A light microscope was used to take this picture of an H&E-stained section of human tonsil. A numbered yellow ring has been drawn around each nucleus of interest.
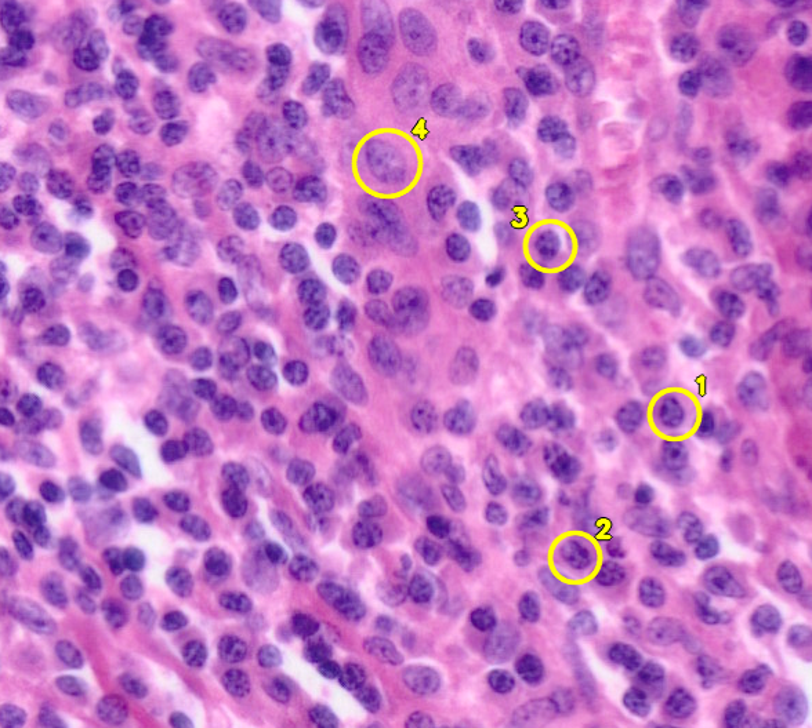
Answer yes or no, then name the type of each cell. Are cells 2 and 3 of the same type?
Yes, cells 2 and 3 are, both of them, plasma cells.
